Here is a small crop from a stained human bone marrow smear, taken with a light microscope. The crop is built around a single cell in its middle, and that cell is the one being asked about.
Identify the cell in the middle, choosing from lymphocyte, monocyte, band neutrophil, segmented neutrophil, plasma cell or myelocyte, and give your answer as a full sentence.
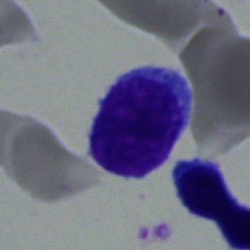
For this crop, the central cell is a lymphocyte.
